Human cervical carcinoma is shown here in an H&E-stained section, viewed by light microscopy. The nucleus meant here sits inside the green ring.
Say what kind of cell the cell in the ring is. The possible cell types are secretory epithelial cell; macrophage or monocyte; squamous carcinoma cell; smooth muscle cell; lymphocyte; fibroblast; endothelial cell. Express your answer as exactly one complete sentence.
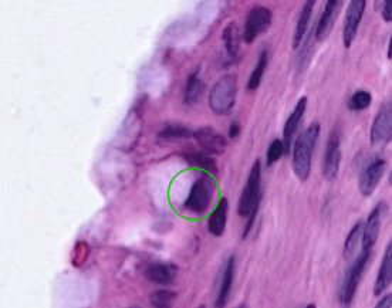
The classification of the cell in the ring is as a secretory epithelial cell.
